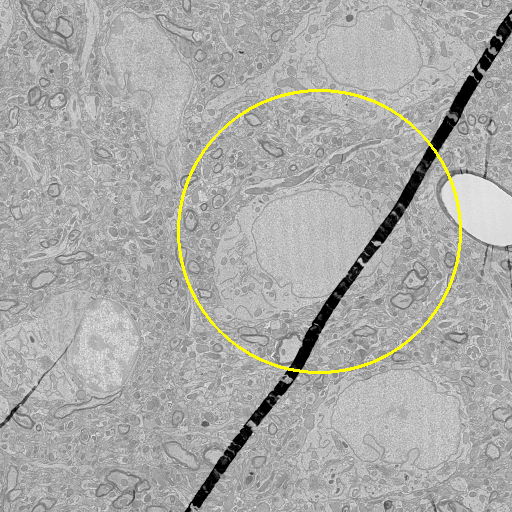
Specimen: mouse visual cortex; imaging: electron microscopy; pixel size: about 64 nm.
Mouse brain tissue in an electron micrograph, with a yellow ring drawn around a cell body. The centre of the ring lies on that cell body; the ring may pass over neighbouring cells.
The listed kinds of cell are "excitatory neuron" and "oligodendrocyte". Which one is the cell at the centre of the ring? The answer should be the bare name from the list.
excitatory neuron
